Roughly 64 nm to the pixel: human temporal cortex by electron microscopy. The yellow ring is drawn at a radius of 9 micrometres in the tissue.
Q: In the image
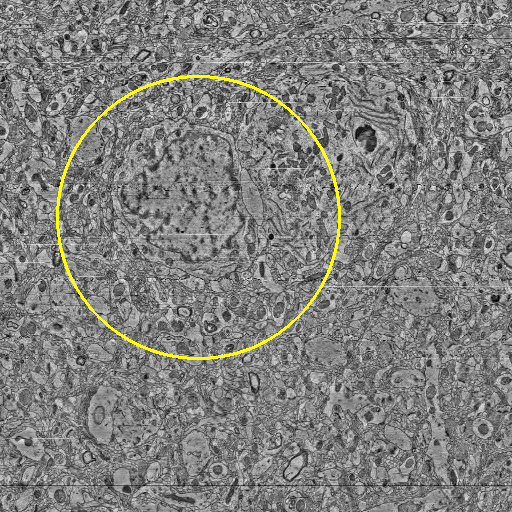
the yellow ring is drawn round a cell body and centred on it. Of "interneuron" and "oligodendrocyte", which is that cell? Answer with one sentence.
The cell centred in the ring is an interneuron.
